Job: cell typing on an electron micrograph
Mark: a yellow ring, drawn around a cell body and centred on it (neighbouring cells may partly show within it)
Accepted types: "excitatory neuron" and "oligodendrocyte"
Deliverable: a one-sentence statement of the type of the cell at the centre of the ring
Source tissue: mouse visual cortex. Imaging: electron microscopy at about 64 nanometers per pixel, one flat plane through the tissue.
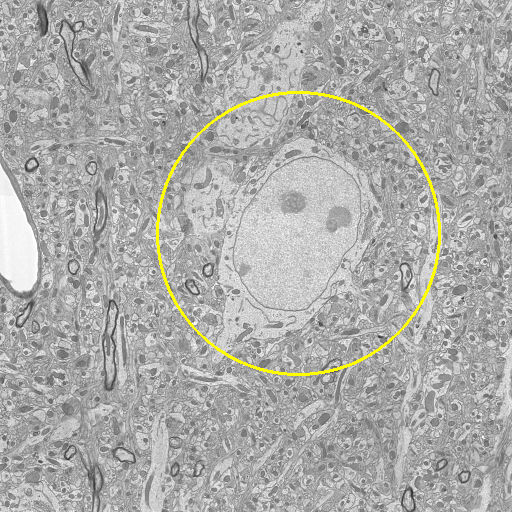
The centred cell body is that of an excitatory neuron.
